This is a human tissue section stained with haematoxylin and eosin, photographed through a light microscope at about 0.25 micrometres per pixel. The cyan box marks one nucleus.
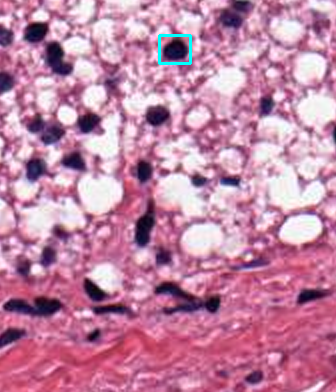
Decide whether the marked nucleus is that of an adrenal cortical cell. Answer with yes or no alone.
yes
